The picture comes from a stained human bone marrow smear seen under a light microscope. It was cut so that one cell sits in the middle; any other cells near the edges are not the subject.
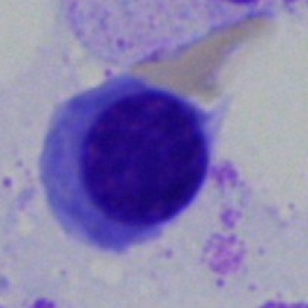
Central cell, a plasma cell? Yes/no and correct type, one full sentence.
No, that guess of a plasma cell misses; the central cell is an erythroblast.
